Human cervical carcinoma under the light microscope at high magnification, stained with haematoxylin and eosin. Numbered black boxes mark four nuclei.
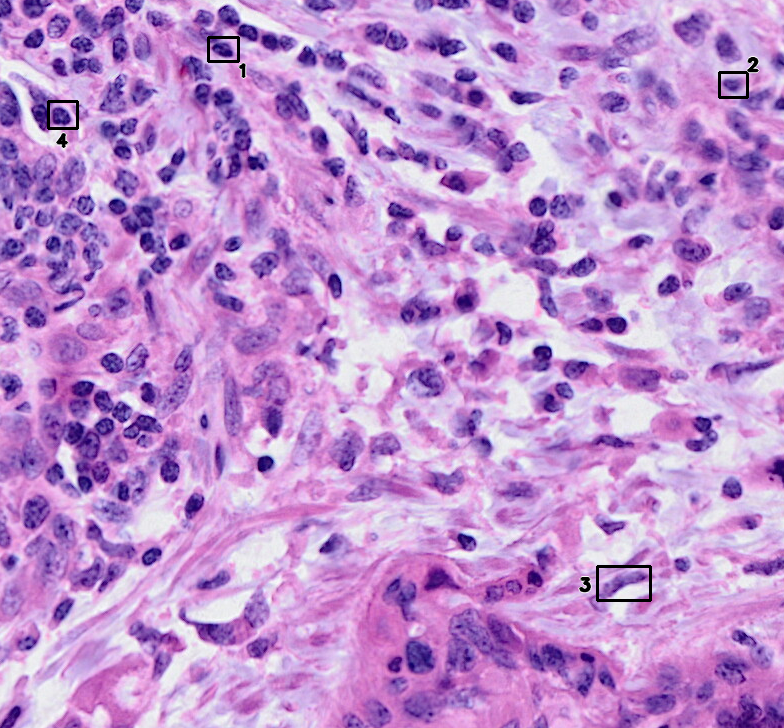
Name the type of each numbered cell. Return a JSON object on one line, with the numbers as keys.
{"1": "lymphocyte", "2": "lymphocyte", "3": "fibroblast", "4": "lymphocyte"}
